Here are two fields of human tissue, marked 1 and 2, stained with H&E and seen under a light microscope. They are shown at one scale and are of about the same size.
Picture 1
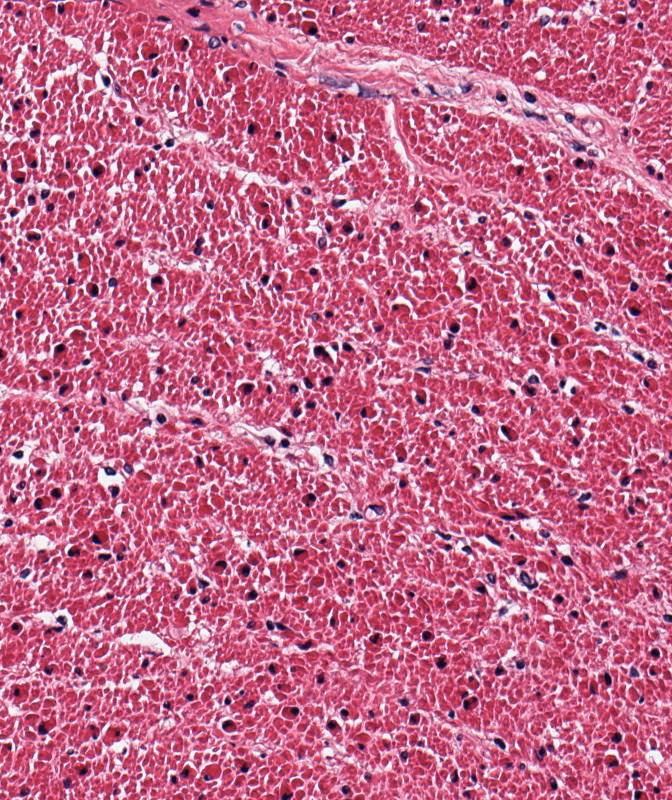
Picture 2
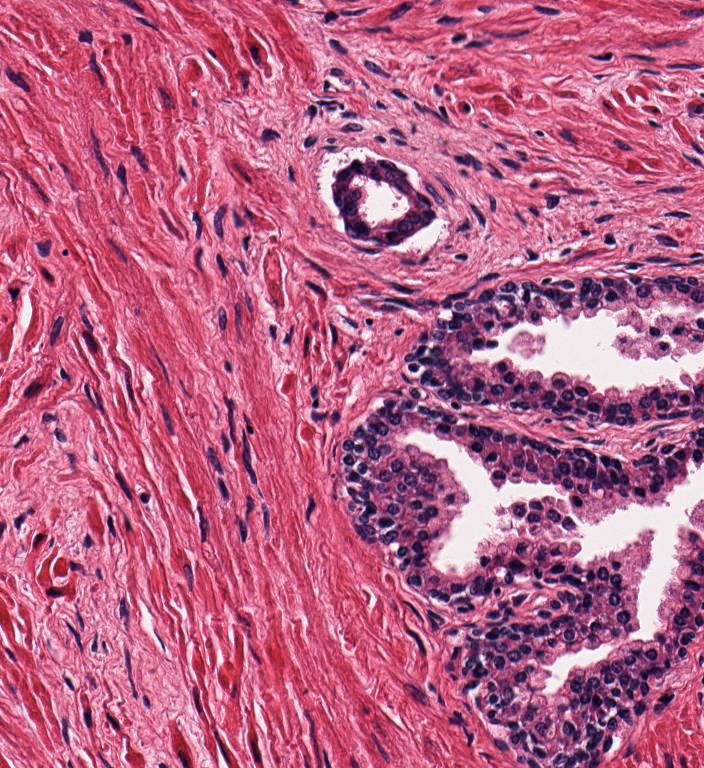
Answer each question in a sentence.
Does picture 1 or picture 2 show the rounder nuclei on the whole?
Rounder nuclei lie in picture 1.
